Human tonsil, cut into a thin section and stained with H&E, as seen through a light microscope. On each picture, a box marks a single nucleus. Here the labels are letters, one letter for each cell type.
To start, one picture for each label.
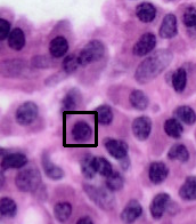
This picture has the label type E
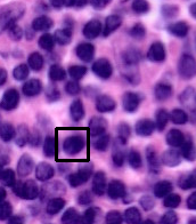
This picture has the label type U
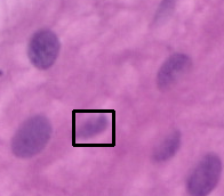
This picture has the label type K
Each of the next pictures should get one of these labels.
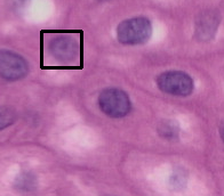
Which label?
type K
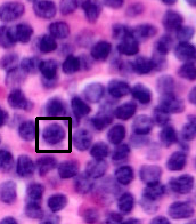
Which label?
type U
